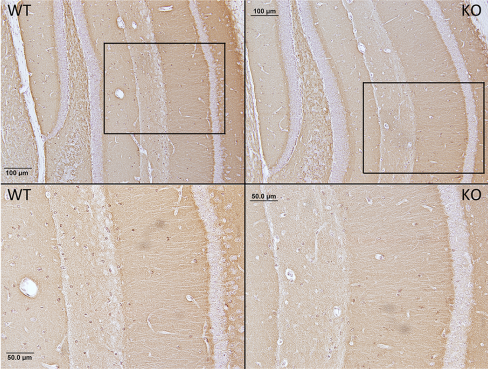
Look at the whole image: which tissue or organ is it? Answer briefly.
Hippocampus.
